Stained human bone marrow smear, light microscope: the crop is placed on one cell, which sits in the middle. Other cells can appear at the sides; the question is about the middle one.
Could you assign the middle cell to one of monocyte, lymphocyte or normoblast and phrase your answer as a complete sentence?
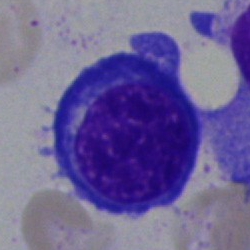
At the middle of the frame sits a normoblast.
